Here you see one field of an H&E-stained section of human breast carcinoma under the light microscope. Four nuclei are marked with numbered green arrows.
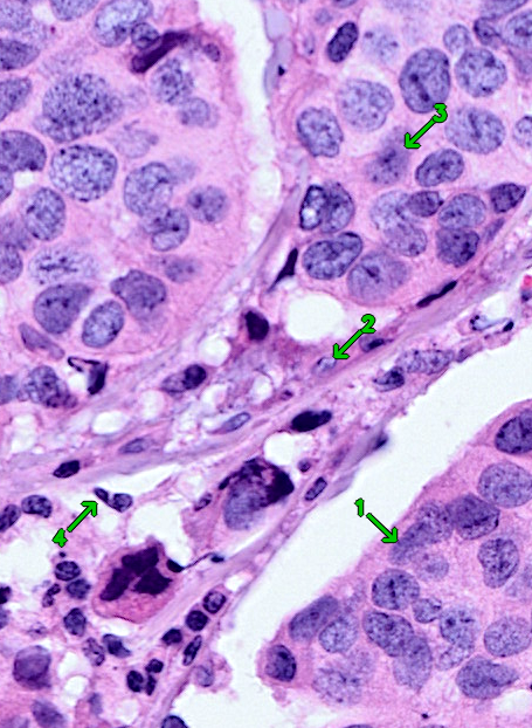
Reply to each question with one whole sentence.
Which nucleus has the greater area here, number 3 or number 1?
At about 2.5 times the area of nucleus 1, nucleus 3 is the larger of the two.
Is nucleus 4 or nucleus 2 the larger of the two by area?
Of the two, number 2 is bigger and takes up about 1.5 times the area of number 4.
